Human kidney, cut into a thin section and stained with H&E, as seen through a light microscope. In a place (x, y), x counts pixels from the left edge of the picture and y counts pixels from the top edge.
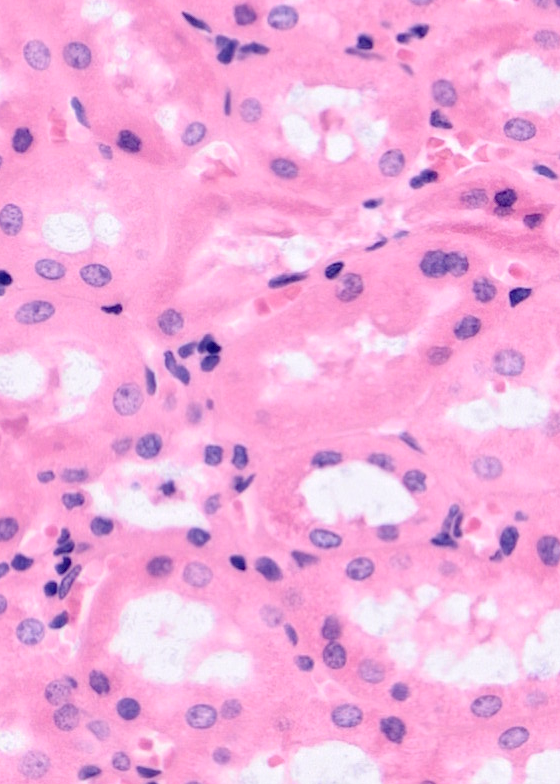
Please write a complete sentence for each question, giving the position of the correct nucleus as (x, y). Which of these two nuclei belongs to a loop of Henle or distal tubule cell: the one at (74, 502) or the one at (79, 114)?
The nucleus at (74, 502), rather than the other, belongs to a loop of Henle or distal tubule cell.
